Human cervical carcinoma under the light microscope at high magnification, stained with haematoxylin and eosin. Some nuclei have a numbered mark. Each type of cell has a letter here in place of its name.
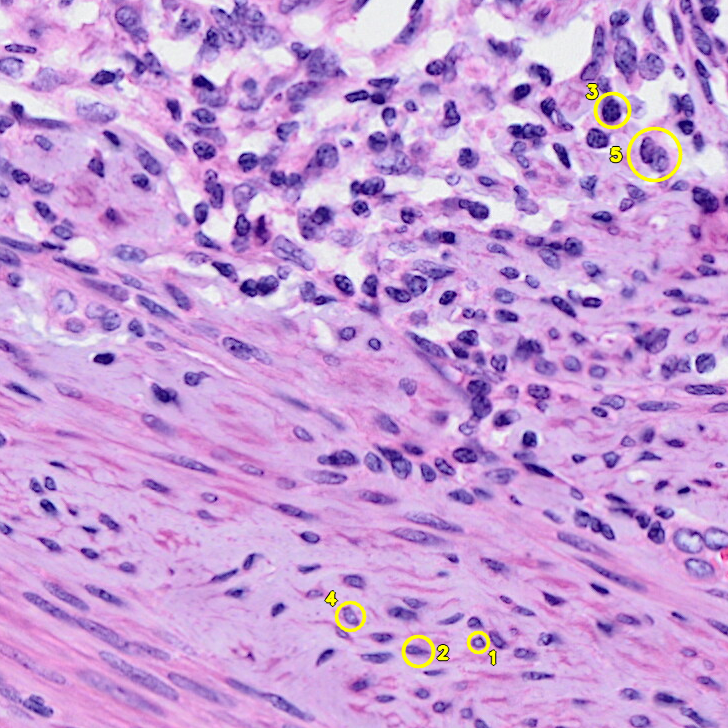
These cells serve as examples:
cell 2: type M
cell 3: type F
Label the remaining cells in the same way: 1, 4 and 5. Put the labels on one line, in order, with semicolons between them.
type M; type M; type F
